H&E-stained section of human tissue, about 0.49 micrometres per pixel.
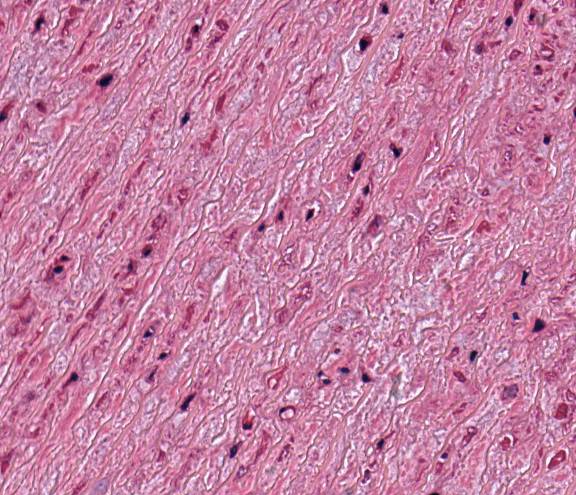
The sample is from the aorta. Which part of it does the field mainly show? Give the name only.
tunica media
